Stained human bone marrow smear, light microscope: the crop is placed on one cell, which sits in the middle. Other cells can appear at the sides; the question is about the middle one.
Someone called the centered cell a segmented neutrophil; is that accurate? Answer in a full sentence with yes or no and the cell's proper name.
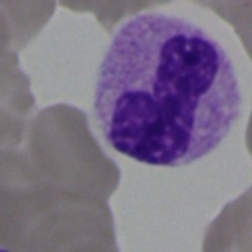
No, the cell in the middle should be called a band neutrophil instead of a segmented neutrophil.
